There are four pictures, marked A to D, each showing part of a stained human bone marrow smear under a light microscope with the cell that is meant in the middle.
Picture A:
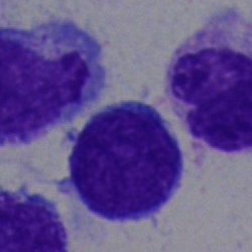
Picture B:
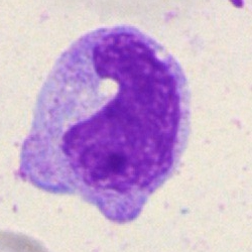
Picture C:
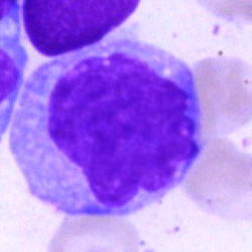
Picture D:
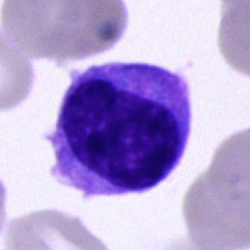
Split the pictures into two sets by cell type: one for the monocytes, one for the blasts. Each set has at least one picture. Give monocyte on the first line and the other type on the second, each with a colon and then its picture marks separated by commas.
monocyte: B, C, D
blast: A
